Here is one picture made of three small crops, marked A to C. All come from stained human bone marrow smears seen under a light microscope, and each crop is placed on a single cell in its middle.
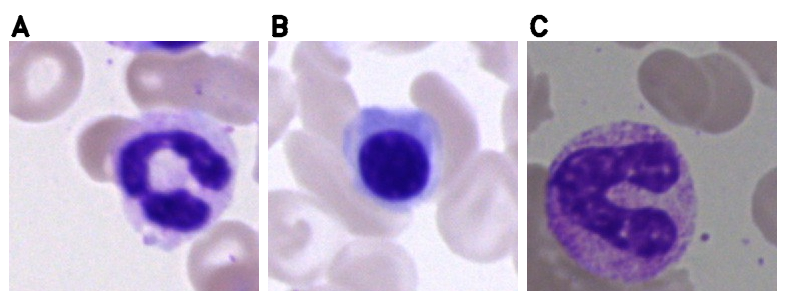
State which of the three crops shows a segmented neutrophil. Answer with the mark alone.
A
